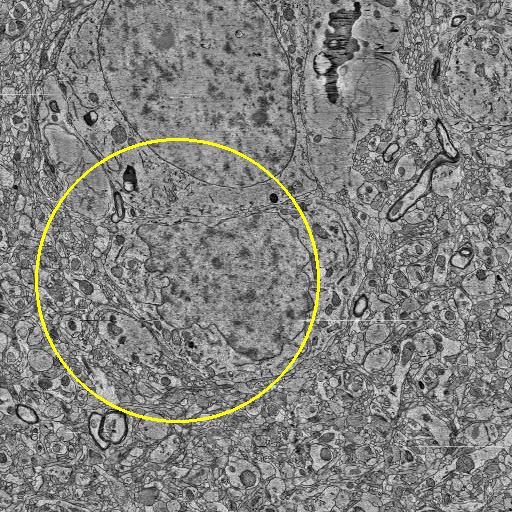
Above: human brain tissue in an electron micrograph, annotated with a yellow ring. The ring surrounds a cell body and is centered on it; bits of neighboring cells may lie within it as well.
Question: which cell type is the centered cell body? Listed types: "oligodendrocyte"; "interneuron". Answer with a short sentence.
The centered cell body is an interneuron.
